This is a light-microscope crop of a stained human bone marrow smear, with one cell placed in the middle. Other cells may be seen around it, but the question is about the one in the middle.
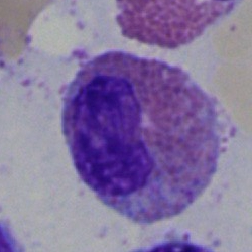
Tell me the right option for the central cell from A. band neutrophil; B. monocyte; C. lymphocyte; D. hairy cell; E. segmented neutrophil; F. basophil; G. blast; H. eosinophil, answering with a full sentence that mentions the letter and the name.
Well, the cell in the middle is an eosinophil, making option H right.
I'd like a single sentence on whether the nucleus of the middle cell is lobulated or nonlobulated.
The nuclear material is gathered into one compact round, oval or kidney-shaped mass.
